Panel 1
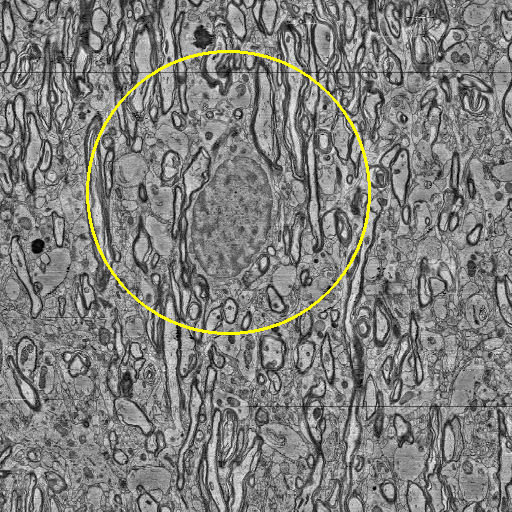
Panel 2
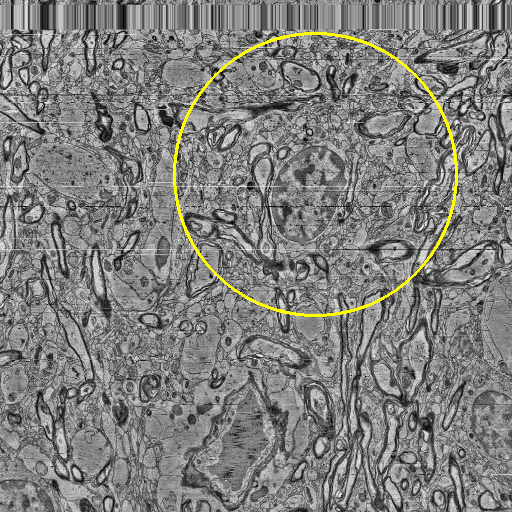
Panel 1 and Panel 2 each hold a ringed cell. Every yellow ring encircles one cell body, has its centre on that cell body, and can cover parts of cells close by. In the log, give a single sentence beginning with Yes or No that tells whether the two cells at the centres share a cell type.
No, in Panel 1 and Panel 2 the centred cells are of two cell types.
